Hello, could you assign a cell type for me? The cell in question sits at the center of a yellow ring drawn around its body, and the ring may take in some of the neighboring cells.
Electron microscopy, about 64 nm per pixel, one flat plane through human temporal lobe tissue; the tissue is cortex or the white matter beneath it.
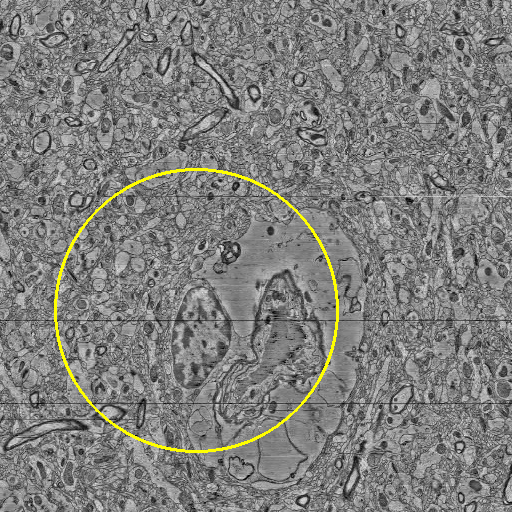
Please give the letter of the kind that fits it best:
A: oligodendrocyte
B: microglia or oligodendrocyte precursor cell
B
